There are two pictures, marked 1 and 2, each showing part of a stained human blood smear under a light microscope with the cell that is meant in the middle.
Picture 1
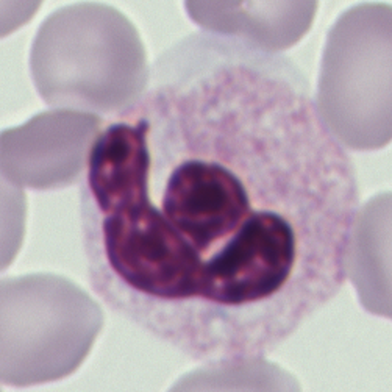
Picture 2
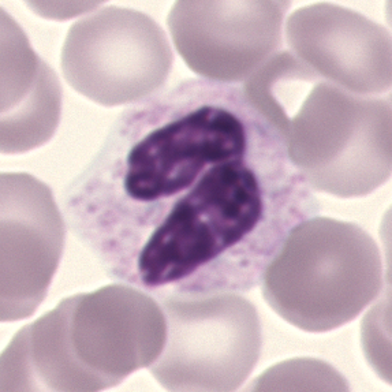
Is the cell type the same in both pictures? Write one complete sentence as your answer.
Yes, both are segmented neutrophils.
